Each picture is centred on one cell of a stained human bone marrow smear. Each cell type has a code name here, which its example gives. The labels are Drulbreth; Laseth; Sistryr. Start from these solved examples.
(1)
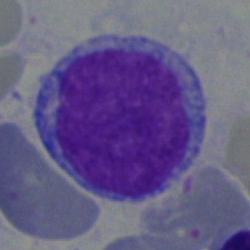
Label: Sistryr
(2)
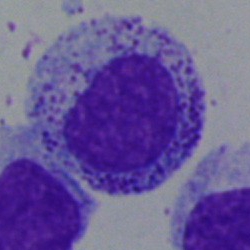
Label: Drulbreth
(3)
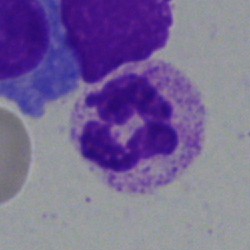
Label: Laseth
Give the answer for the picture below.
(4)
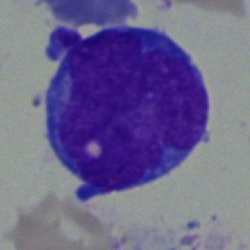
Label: Sistryr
